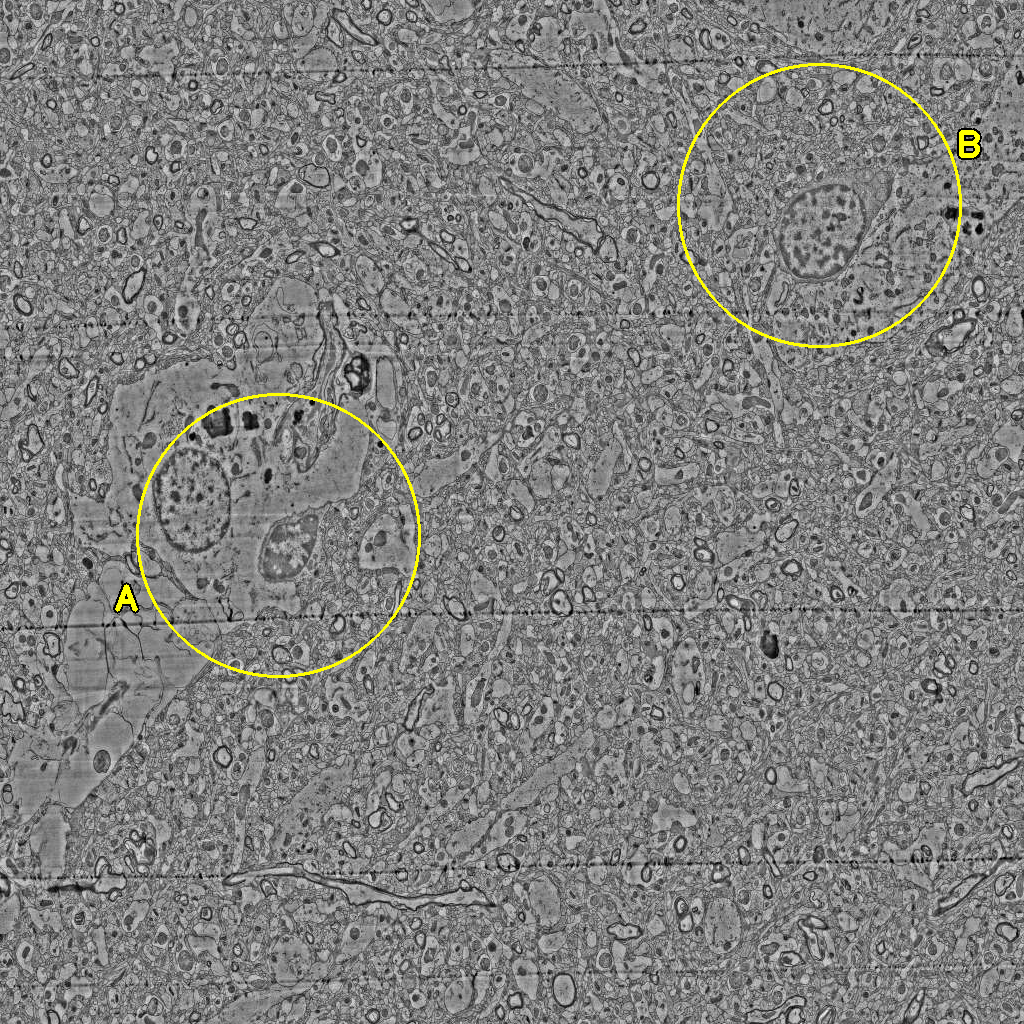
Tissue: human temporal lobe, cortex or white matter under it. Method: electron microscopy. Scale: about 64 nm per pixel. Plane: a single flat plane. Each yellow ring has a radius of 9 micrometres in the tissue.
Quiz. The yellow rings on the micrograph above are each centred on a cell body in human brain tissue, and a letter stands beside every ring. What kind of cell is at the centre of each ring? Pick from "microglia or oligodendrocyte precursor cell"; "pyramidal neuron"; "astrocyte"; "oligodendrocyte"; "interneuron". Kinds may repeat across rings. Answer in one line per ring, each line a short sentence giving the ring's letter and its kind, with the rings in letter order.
The ring labelled A has a microglial cell or oligodendrocyte precursor cell at its centre.
The ring labelled B has an oligodendrocyte at its centre.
